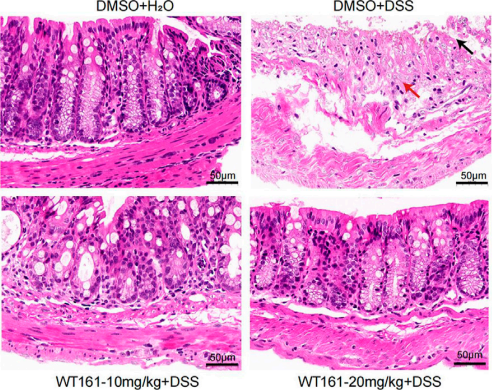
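Four sections of the colon wall are shown, each stained pink and purple, with the mucosa above and the smooth muscle layer at the bottom. In the top-left image, straight and closely packed crypts run down to the muscle layer. They are lined by columnar epithelium with purple nuclei and many pale goblet cells. In the top-right image the crypts are largely gone, leaving a pale, loose, disorganised pink mucosa with scattered nuclei and a broken, ragged surface lining. In the two lower images, crypts with goblet cells are again present above the muscle layer, though less regular than in the top-left image.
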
